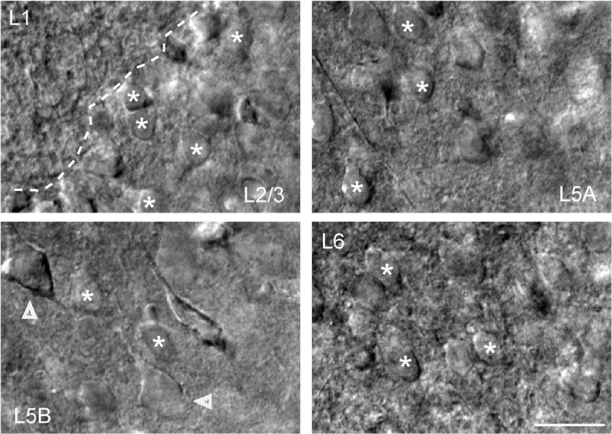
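Cell bodies appear as smooth, shadow-relief rounded, oval or triangular outlines set in a finely granular neuropil. Many bodies are of medium to small size and occur in every field. In one field a few cell bodies are clearly larger and more elongated, some with a thick process leaving one pole. A dashed line in one field separates a superficial zone with few cell bodies from a deeper zone crowded with them. Nuclei are not distinct; the cells appear as relief outlines.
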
